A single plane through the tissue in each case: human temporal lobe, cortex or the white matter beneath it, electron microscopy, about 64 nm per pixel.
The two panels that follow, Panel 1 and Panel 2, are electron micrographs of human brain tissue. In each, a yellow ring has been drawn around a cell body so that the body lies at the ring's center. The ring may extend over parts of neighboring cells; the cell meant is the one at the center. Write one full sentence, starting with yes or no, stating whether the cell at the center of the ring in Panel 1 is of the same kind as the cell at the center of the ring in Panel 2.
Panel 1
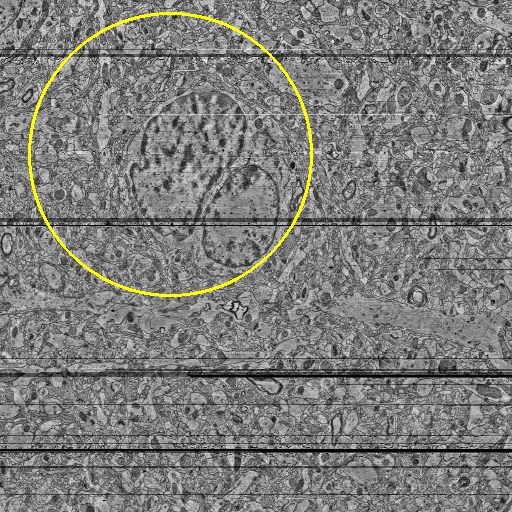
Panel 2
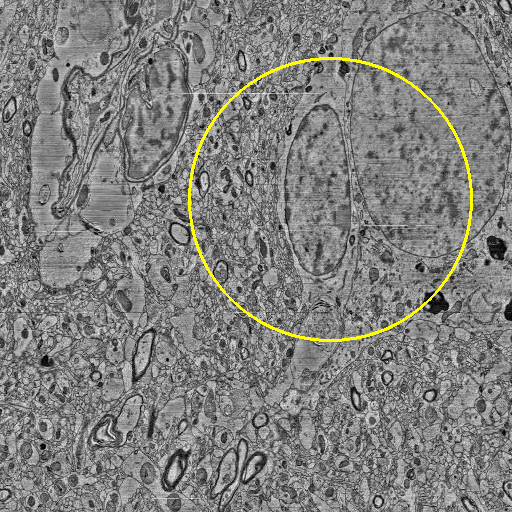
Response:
Yes, the cells in both panels are of the same kind.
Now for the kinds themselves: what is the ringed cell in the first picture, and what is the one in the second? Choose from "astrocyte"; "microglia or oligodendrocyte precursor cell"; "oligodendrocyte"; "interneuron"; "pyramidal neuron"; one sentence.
The cell at the ring centre is a microglial cell or oligodendrocyte precursor cell in both pictures.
